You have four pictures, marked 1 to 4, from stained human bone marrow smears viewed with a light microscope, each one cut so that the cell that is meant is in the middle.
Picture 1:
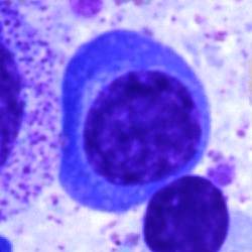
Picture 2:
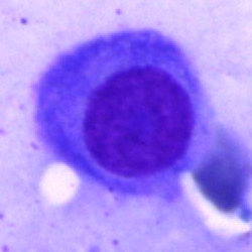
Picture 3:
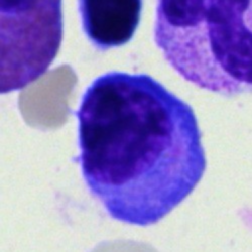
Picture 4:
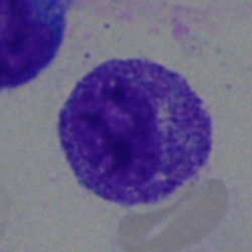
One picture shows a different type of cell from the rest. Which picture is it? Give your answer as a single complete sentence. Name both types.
The different one is picture 4; it shows a myelocyte, whereas all the others show plasma cells.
